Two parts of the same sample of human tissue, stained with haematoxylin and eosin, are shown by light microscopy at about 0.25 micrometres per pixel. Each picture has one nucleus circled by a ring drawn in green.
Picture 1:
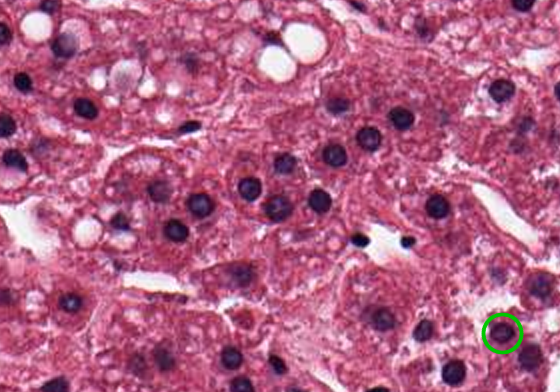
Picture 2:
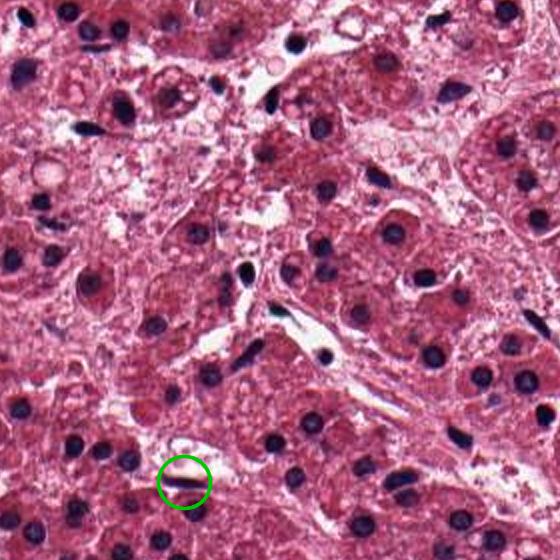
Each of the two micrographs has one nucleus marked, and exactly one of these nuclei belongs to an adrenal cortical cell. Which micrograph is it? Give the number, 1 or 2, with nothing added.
1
